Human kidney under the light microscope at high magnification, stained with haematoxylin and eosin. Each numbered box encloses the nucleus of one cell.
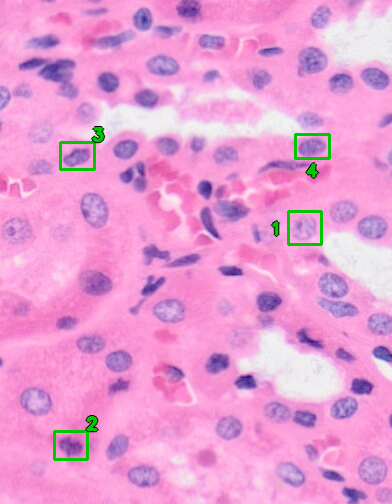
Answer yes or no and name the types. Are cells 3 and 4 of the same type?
Yes, both are loop of Henle or distal tubule cells.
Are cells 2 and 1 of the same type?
No, cell 2 is a proximal tubule cell and cell 1 is a loop of Henle or distal tubule cell.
